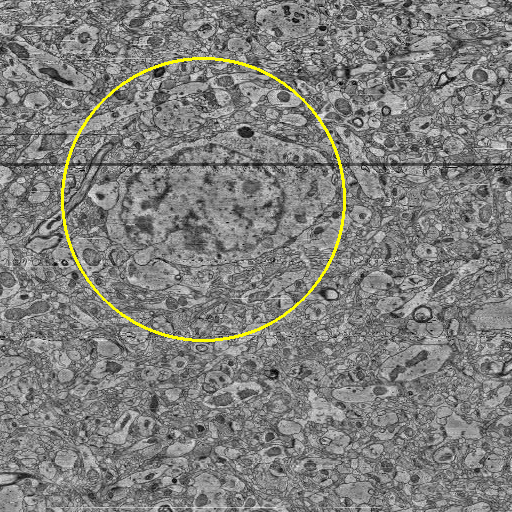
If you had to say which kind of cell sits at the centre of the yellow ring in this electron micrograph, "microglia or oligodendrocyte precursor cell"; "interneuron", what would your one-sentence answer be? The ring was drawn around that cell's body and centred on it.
The cell sitting at the centre of the ring is an interneuron.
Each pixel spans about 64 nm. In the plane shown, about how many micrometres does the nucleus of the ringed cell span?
Roughly 10 by 7 micrometres in this plane, for the nucleus of the ringed cell.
